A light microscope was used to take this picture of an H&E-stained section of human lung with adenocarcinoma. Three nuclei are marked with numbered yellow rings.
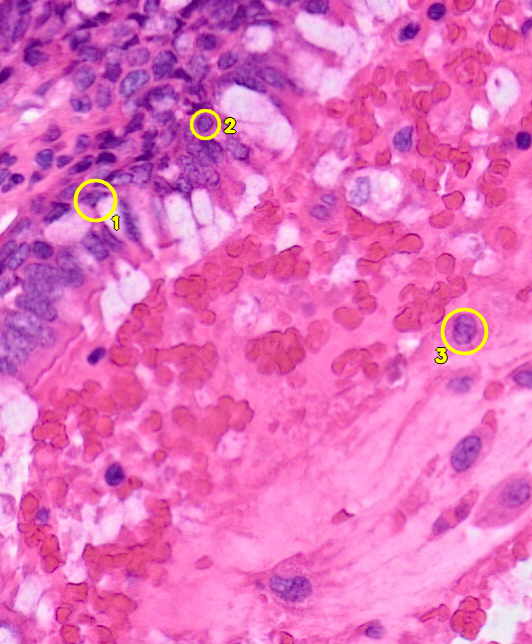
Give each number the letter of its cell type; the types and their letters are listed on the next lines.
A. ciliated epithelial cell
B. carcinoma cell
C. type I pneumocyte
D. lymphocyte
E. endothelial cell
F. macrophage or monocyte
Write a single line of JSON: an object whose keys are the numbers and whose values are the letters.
{"1": "A", "2": "A", "3": "F"}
